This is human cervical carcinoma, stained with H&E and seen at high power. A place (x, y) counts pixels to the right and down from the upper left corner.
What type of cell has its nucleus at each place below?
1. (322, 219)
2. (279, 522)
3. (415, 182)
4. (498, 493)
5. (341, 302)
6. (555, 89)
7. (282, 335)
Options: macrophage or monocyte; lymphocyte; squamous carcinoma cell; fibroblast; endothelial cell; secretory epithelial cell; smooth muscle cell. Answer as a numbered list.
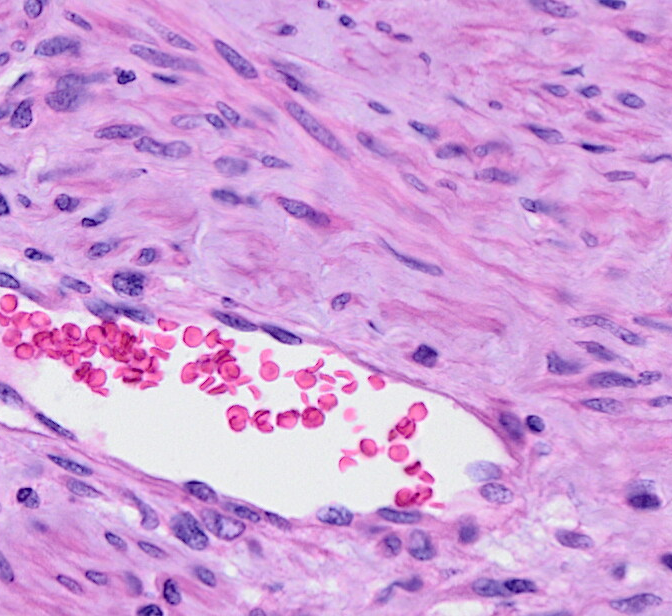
1. smooth muscle cell
2. endothelial cell
3. smooth muscle cell
4. endothelial cell
5. smooth muscle cell
6. smooth muscle cell
7. endothelial cell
